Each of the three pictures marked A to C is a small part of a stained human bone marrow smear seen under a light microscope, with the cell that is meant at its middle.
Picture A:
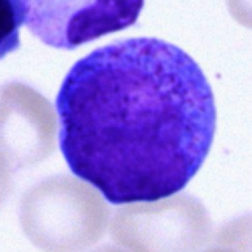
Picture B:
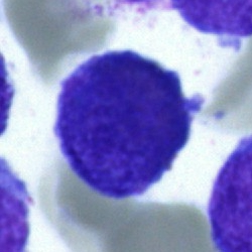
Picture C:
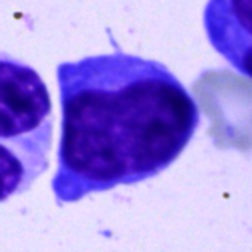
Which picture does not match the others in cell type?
A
